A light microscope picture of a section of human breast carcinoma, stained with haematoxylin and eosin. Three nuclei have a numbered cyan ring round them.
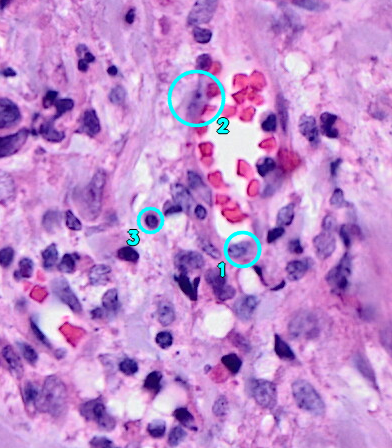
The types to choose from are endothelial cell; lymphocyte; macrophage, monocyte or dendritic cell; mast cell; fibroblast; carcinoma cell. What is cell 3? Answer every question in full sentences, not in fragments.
Denoted by the label 3 in the section is a mast cell.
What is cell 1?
The cell indicated by marker 1 is an endothelial cell in this section.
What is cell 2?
The nucleus with number 2 is that of an endothelial cell.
